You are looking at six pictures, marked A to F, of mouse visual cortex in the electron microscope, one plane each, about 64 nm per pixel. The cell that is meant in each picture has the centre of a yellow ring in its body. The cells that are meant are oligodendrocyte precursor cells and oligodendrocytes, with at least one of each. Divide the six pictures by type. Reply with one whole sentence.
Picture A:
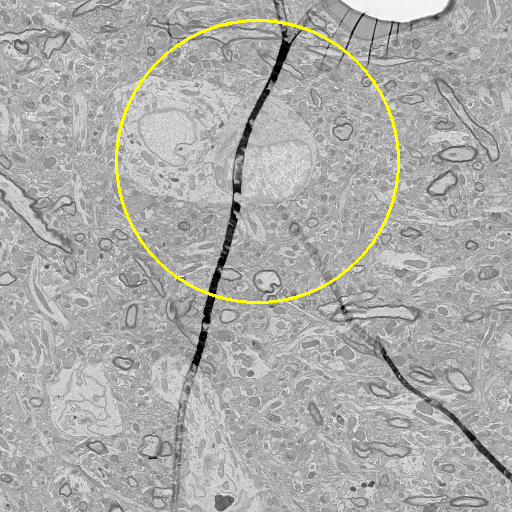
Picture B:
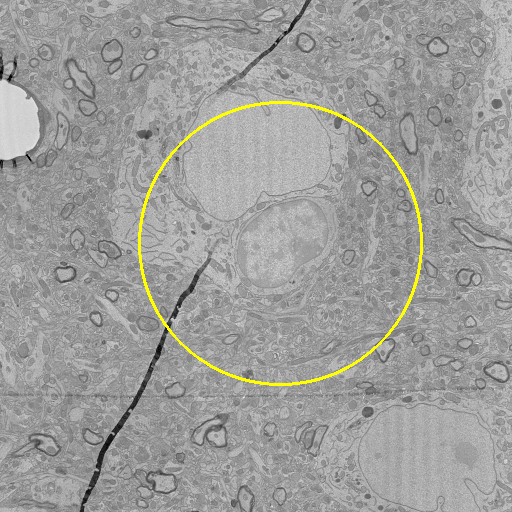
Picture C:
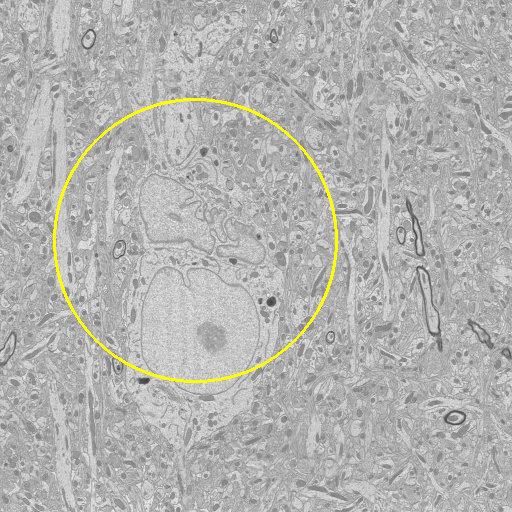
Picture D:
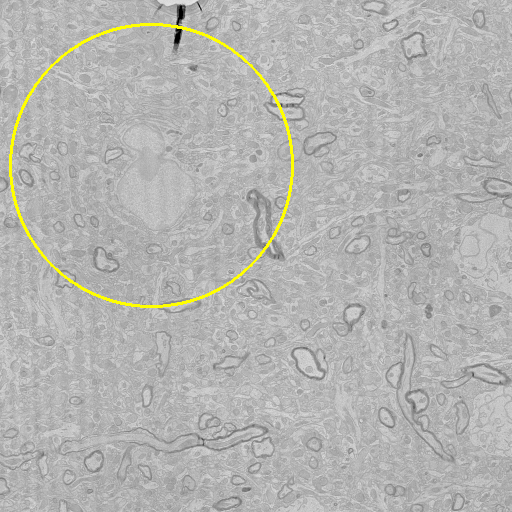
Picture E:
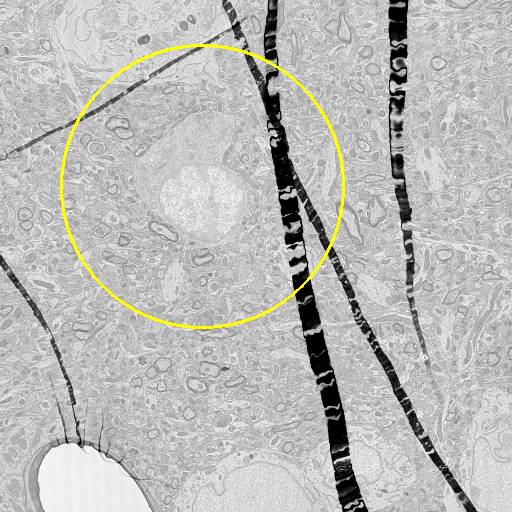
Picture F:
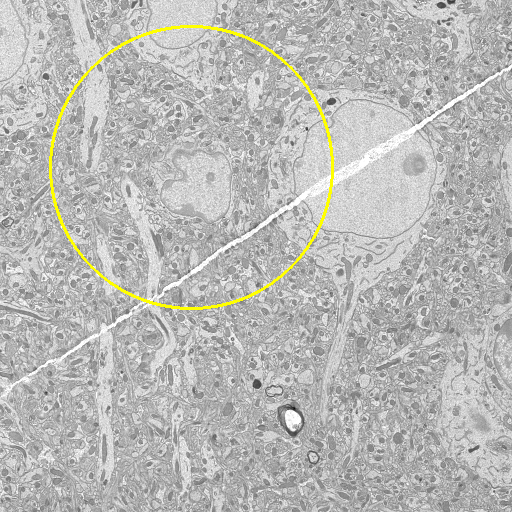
Pictures C, D and F show oligodendrocyte precursor cells, while pictures A, B and E show oligodendrocytes.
